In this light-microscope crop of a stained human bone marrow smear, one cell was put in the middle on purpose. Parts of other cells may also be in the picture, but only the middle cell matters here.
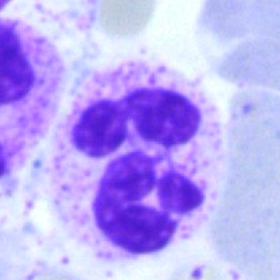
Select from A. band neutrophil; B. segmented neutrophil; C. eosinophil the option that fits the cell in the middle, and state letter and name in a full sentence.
The cell placed in the middle is a segmented neutrophil; option B is correct.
